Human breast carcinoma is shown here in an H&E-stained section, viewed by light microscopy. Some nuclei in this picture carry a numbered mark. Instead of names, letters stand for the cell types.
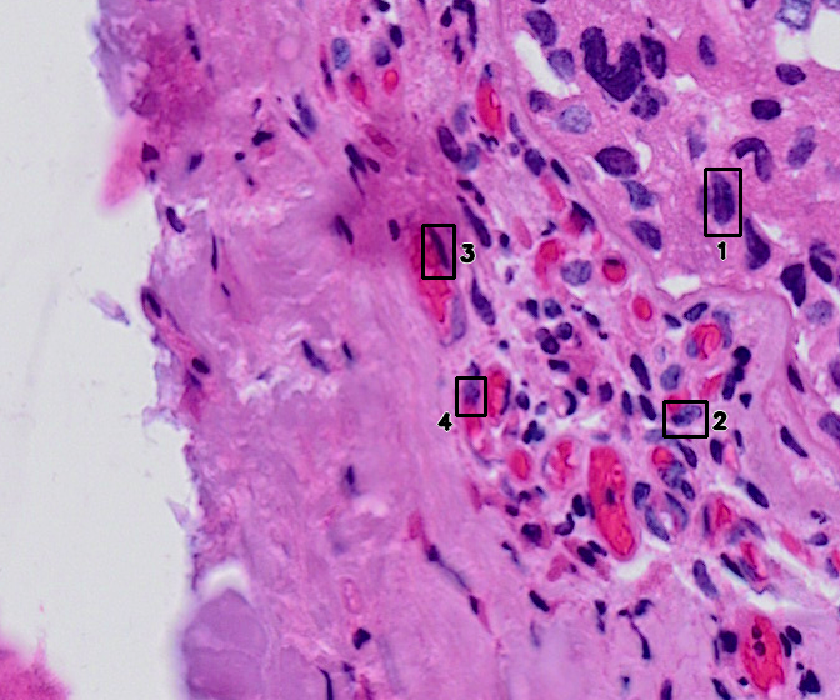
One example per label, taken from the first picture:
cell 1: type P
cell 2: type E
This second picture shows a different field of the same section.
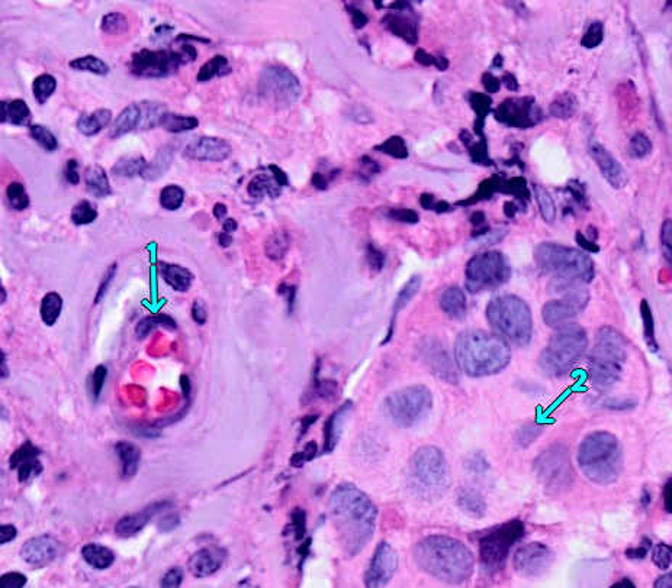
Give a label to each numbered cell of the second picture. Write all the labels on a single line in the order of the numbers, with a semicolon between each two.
type E; type P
